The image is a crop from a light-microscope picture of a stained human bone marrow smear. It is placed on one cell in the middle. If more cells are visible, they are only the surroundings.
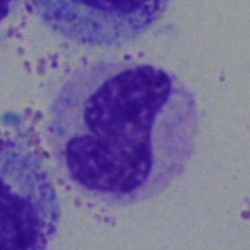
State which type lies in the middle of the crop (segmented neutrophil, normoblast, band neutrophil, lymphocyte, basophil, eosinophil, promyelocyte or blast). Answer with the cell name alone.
band neutrophil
